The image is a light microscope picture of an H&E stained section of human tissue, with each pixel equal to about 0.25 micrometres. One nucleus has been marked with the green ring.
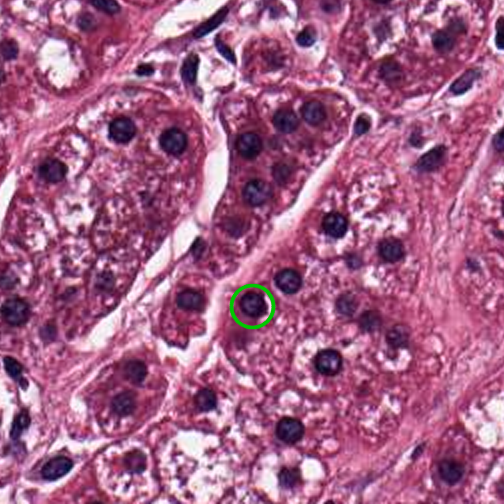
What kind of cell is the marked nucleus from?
adrenal cortical cell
